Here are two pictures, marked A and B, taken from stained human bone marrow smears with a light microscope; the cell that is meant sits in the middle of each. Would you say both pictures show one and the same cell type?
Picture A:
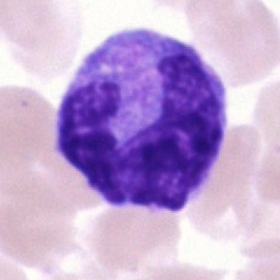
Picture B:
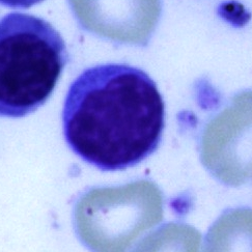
no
